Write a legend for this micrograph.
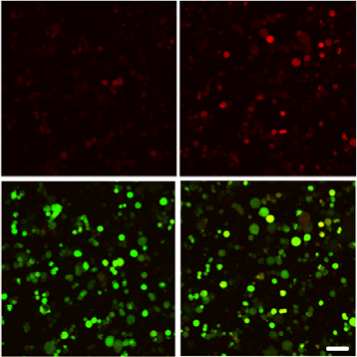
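Four low-magnification fluorescence fields of cultured cells, seen from above on a dark background. The cells are small, rounded, and scattered singly or in loose clusters, with no visible processes or internal detail at this scale. The red cells look more numerous and brighter in the right-hand field than in the left.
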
